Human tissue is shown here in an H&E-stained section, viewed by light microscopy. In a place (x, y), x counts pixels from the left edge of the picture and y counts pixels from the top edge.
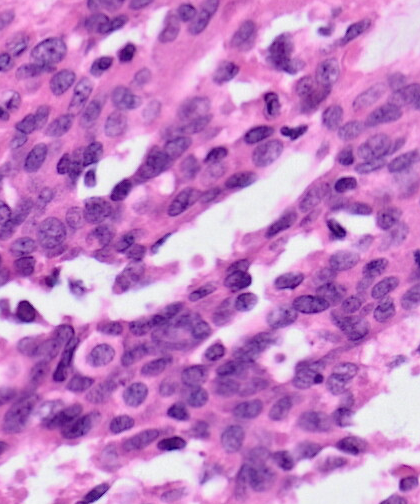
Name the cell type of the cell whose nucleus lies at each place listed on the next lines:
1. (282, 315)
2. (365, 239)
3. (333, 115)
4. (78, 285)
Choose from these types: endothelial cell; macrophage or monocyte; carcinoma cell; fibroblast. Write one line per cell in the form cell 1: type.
cell 1: carcinoma cell
cell 2: carcinoma cell
cell 3: macrophage or monocyte
cell 4: carcinoma cell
